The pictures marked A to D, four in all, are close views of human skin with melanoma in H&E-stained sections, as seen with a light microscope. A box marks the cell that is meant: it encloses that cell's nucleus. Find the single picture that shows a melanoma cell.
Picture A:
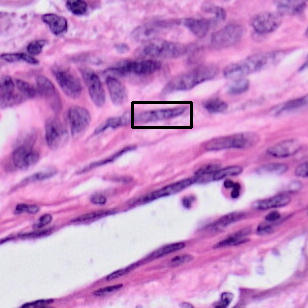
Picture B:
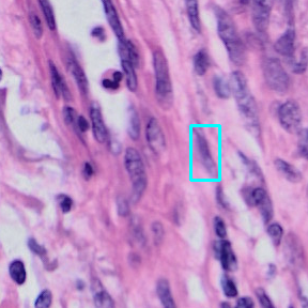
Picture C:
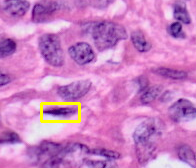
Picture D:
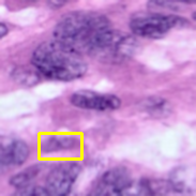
D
